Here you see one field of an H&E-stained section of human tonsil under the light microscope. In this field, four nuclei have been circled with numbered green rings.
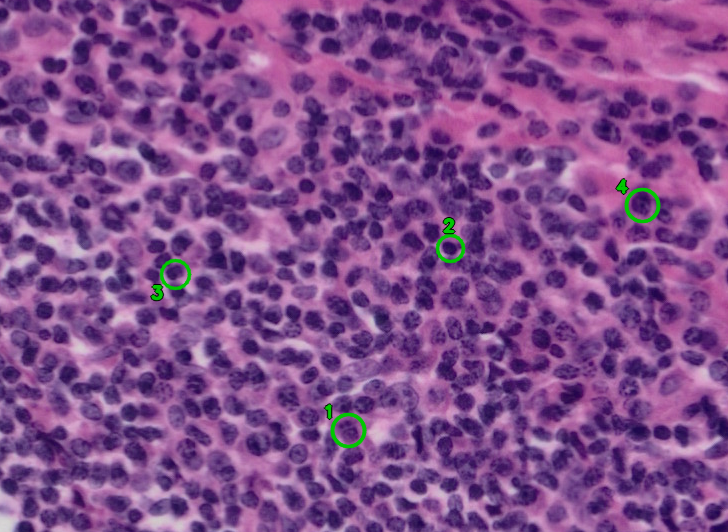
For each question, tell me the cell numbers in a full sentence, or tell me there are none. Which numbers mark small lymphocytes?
The cells that the numbers 2 and 3 belong to are small lymphocytes.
